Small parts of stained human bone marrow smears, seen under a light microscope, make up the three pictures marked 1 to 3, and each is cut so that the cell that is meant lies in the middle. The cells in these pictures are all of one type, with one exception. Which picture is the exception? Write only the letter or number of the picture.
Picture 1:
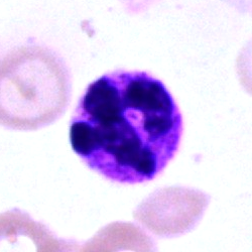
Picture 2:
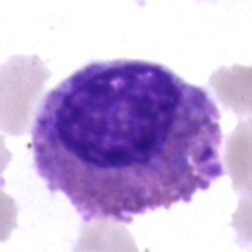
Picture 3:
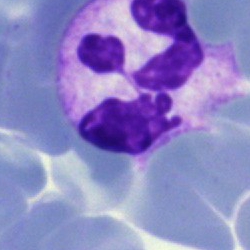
2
